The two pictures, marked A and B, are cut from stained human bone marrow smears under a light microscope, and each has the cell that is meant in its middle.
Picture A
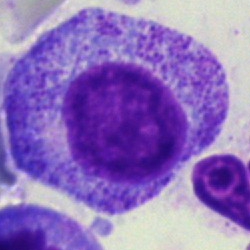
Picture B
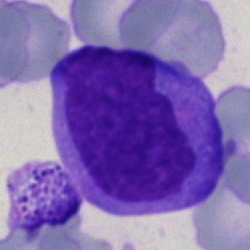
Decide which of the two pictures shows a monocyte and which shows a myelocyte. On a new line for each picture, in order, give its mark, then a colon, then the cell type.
A: myelocyte
B: monocyte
